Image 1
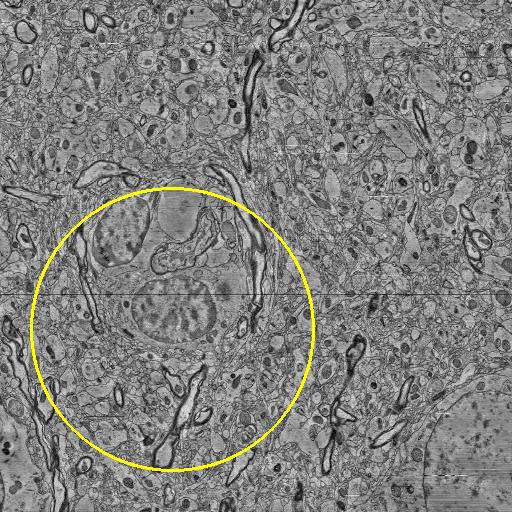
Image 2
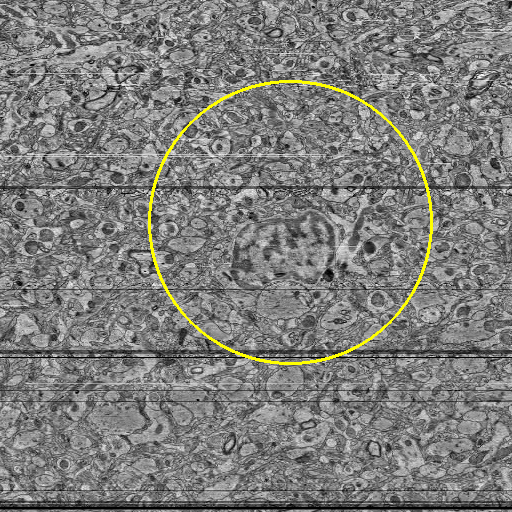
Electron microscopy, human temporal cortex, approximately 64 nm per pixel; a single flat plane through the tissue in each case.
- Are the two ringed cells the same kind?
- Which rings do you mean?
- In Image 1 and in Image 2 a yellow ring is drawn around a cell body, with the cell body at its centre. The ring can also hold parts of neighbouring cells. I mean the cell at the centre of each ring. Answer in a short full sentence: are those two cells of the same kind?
No, the cells are of two kinds.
